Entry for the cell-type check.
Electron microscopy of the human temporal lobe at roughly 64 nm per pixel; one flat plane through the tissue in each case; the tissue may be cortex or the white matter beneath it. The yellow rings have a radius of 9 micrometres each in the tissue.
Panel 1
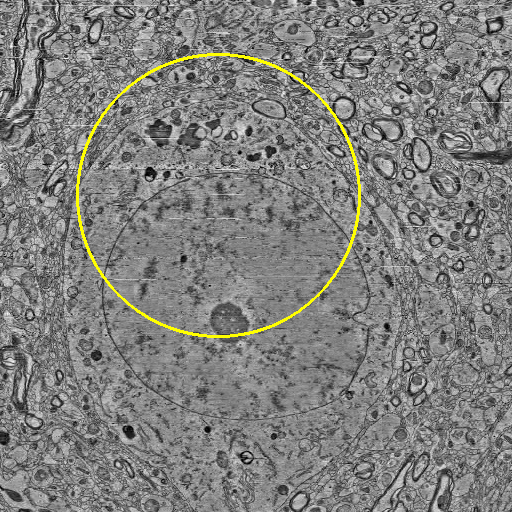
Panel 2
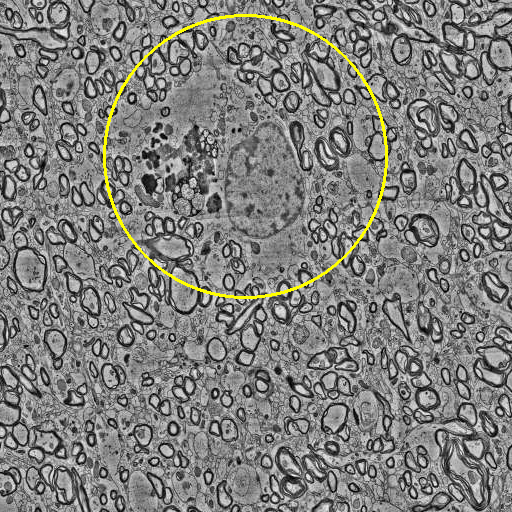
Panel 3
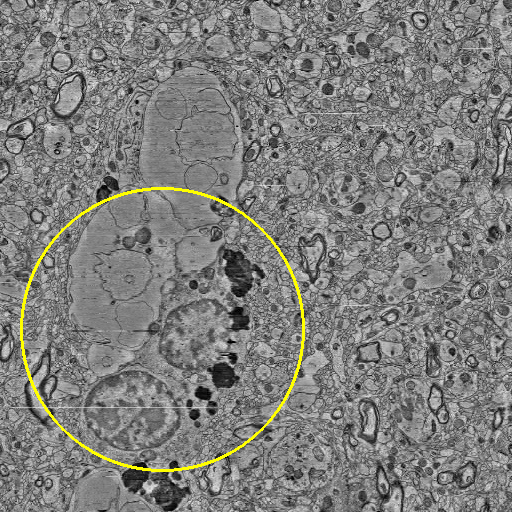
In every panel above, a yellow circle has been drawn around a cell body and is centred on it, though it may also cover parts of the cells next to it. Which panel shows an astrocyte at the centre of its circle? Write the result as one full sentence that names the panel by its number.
Panel 2 shows it at the centre of its circle.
